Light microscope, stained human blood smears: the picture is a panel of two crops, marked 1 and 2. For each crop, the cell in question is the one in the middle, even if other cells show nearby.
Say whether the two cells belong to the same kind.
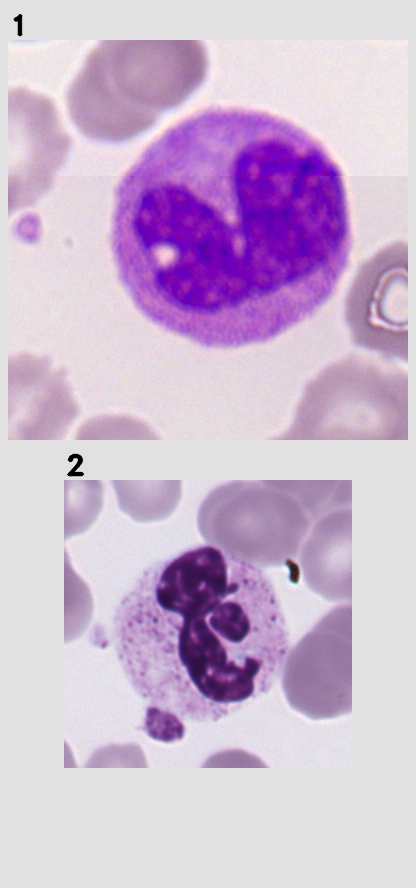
no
